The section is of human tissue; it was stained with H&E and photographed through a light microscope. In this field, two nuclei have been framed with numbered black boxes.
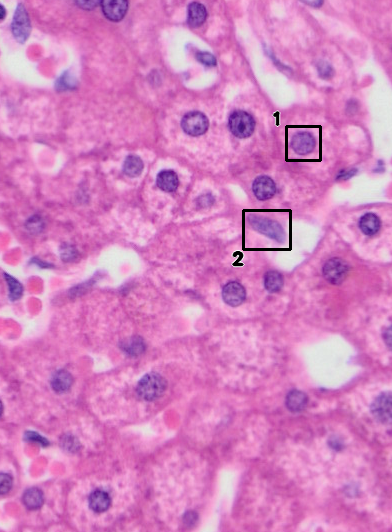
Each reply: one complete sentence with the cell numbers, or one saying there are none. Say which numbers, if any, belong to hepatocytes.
Among all the marked cells, a hepatocyte is found only at number 1.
